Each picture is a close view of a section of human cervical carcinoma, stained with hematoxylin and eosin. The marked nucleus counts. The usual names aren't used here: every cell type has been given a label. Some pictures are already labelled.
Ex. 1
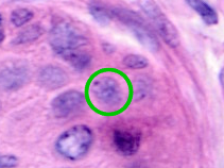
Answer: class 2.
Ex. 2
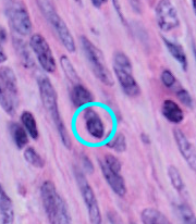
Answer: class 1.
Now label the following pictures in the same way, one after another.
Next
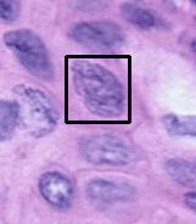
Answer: class 2.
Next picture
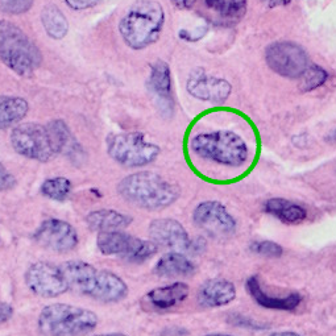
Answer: class 2.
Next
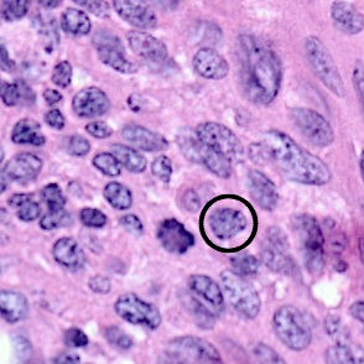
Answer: class 2.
